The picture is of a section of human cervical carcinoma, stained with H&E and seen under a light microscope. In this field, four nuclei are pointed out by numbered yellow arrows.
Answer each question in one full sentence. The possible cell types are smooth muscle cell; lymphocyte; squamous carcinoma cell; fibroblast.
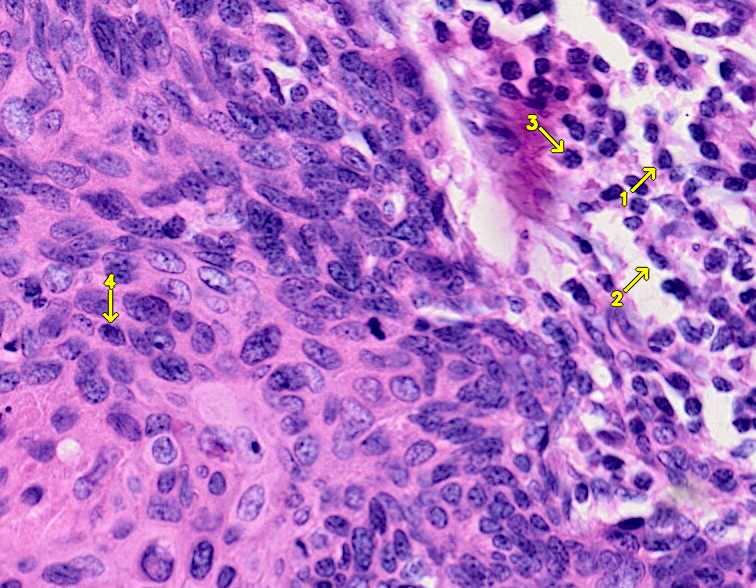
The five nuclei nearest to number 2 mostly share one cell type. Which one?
Most of the five nuclei nearest to number 2 are those of lymphocytes.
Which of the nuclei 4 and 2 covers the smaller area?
It is nucleus 2; nucleus 4 has about 1.5 times its area.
